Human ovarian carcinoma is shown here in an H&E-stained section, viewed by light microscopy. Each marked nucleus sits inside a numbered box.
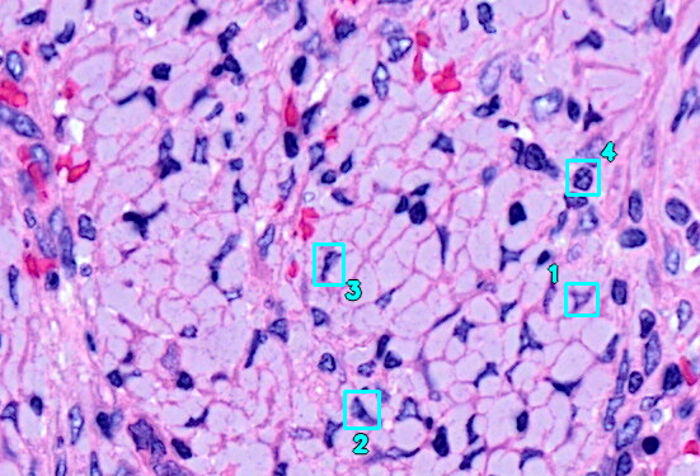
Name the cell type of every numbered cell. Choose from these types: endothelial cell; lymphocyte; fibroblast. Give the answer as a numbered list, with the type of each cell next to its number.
1. fibroblast
2. fibroblast
3. fibroblast
4. lymphocyte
